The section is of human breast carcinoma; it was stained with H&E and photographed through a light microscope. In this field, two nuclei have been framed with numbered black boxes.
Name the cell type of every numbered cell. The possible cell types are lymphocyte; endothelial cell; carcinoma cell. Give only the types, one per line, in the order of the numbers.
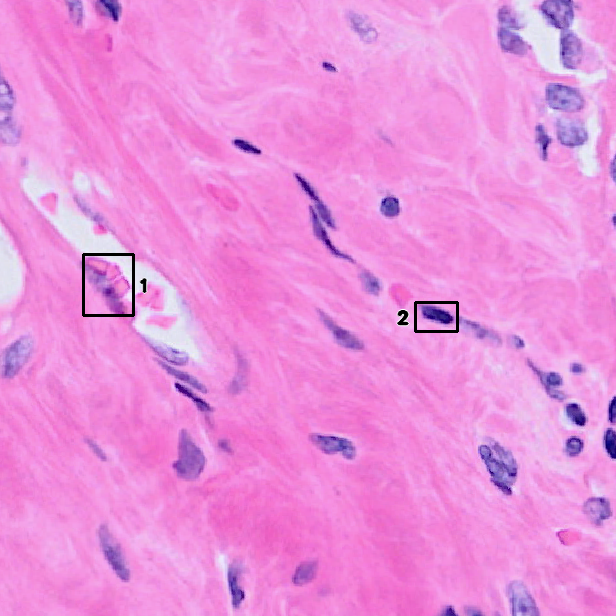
endothelial cell
lymphocyte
